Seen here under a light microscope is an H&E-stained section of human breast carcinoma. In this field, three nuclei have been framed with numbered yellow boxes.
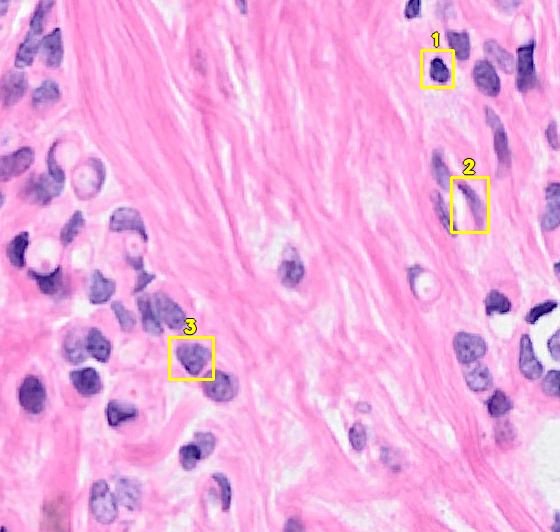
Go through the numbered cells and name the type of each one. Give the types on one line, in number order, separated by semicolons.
lymphocyte; endothelial cell; carcinoma cell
